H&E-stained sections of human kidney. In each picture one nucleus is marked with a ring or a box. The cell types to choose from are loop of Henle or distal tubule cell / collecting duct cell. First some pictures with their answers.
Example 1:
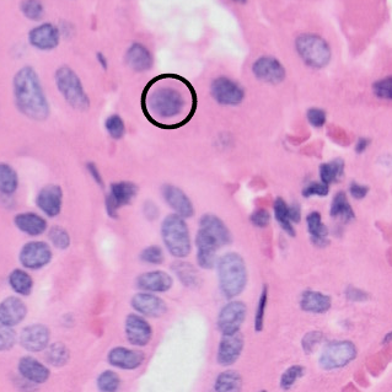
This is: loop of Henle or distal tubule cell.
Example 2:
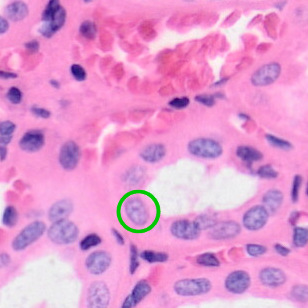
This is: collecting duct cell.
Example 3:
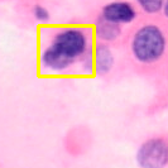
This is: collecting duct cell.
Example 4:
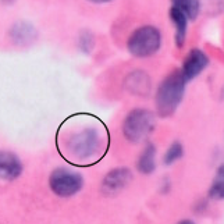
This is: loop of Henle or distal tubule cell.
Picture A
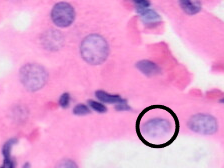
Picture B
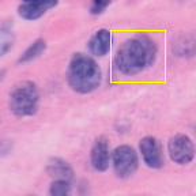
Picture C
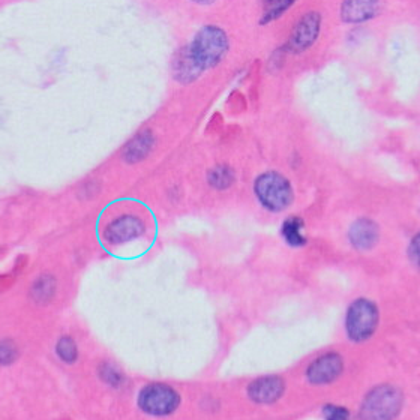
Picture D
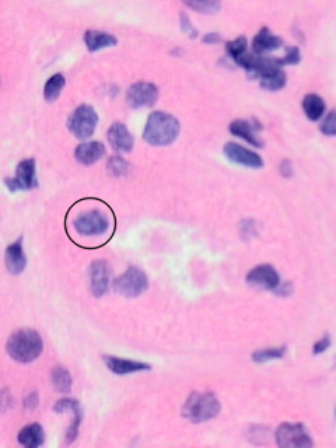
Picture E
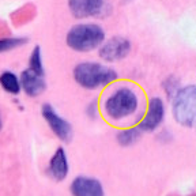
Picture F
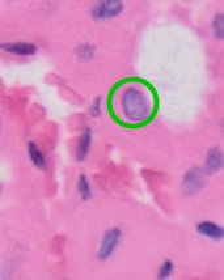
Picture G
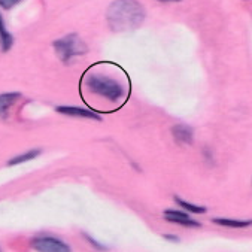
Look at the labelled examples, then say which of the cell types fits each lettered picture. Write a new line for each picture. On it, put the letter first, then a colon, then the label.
A: loop of Henle or distal tubule cell.
B: collecting duct cell.
C: loop of Henle or distal tubule cell.
D: loop of Henle or distal tubule cell.
E: collecting duct cell.
F: loop of Henle or distal tubule cell.
G: loop of Henle or distal tubule cell.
